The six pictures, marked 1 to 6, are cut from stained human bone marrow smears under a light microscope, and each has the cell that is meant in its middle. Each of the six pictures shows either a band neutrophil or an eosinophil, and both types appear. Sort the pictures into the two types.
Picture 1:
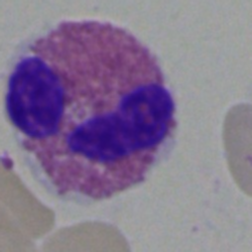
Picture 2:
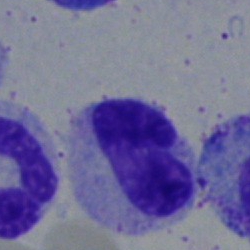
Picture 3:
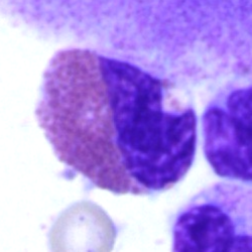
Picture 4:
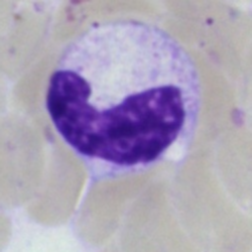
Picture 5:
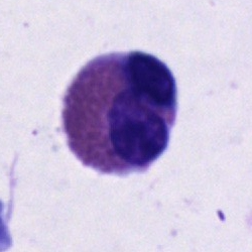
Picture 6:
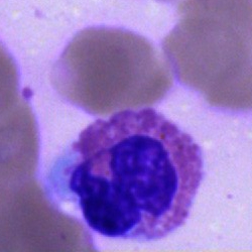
1: eosinophil
2: band neutrophil
3: eosinophil
4: band neutrophil
5: eosinophil
6: eosinophil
